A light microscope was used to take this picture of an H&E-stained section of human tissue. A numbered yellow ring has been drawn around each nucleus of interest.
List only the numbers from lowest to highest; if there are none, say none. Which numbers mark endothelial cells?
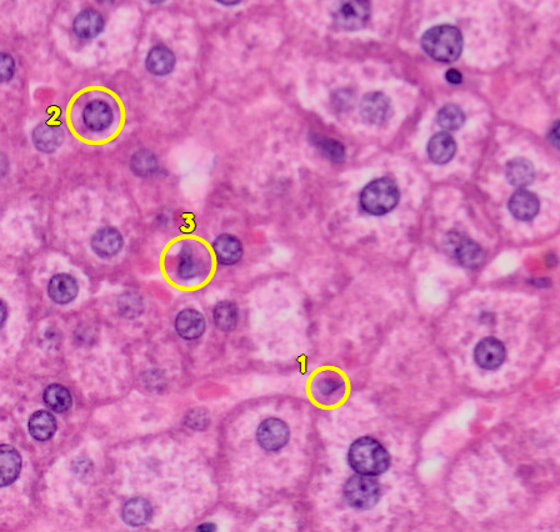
1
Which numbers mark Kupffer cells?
3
